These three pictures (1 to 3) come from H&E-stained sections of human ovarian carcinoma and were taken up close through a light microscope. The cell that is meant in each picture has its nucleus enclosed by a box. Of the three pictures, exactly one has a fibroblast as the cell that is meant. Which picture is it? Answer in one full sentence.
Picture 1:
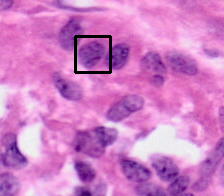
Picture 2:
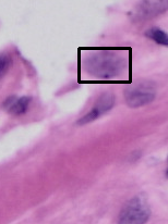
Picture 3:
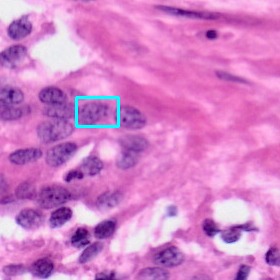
The fibroblast is the one in picture 2.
